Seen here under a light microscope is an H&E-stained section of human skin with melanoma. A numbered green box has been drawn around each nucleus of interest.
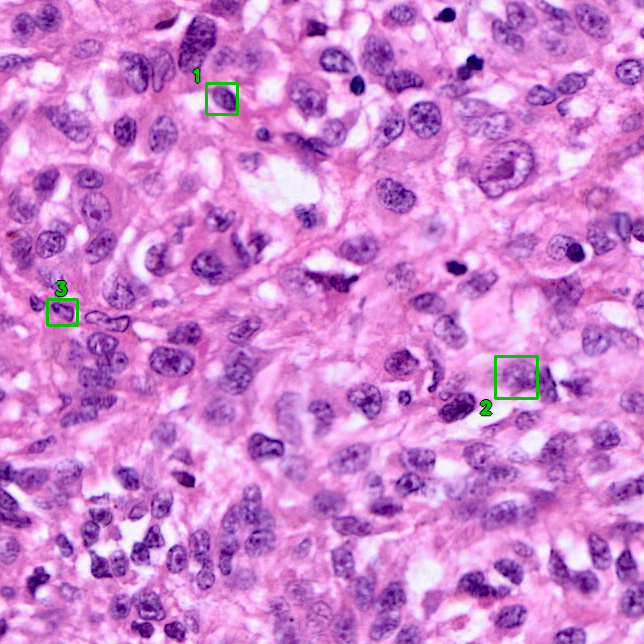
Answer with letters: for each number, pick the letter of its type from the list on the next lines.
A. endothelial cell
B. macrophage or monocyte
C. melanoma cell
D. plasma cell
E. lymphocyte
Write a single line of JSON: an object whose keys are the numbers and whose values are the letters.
{"1": "B", "2": "C", "3": "B"}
